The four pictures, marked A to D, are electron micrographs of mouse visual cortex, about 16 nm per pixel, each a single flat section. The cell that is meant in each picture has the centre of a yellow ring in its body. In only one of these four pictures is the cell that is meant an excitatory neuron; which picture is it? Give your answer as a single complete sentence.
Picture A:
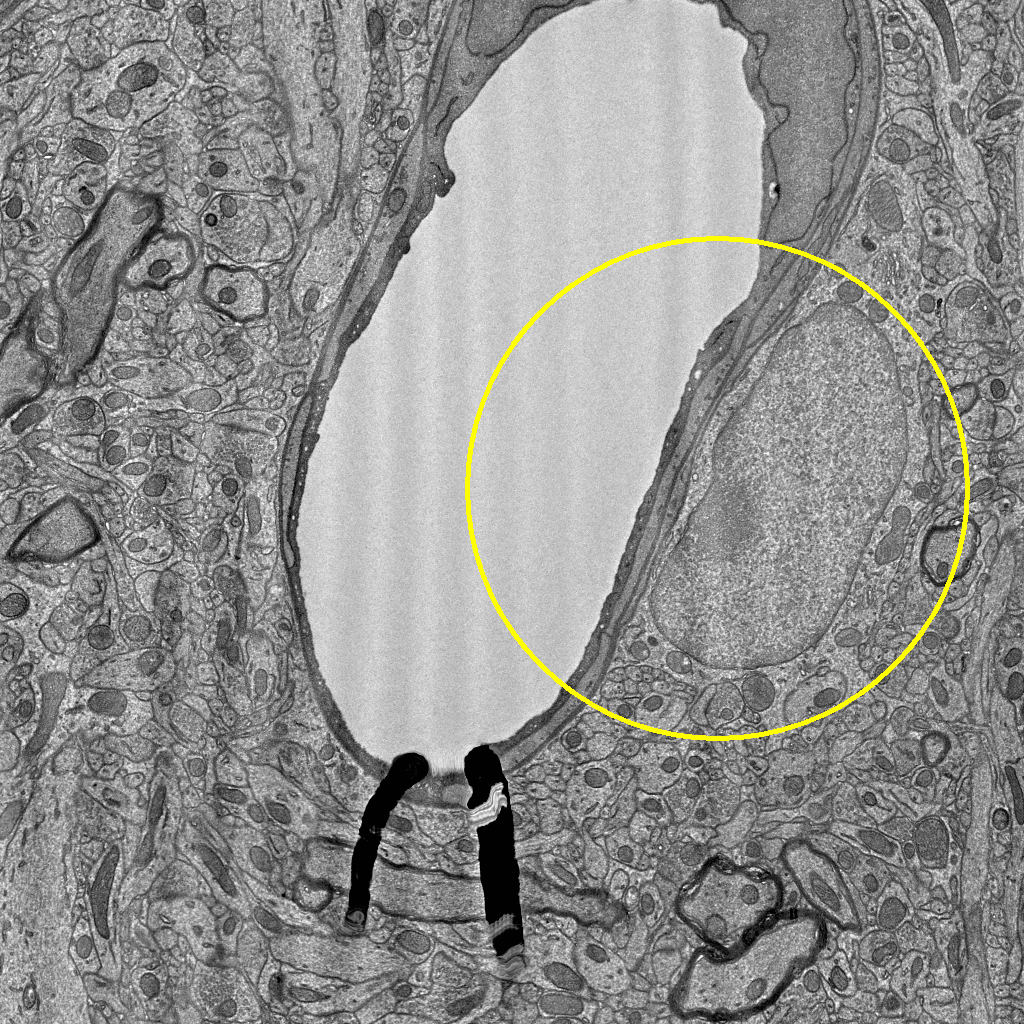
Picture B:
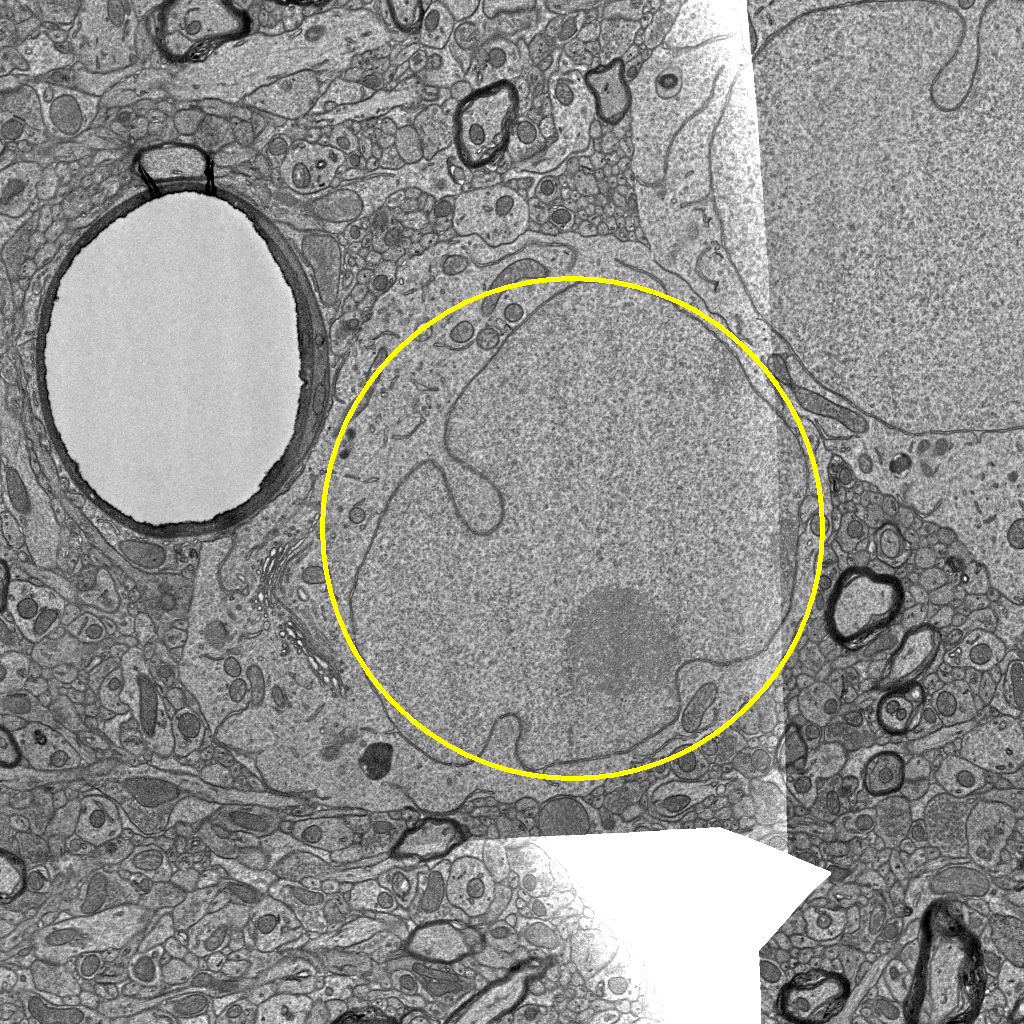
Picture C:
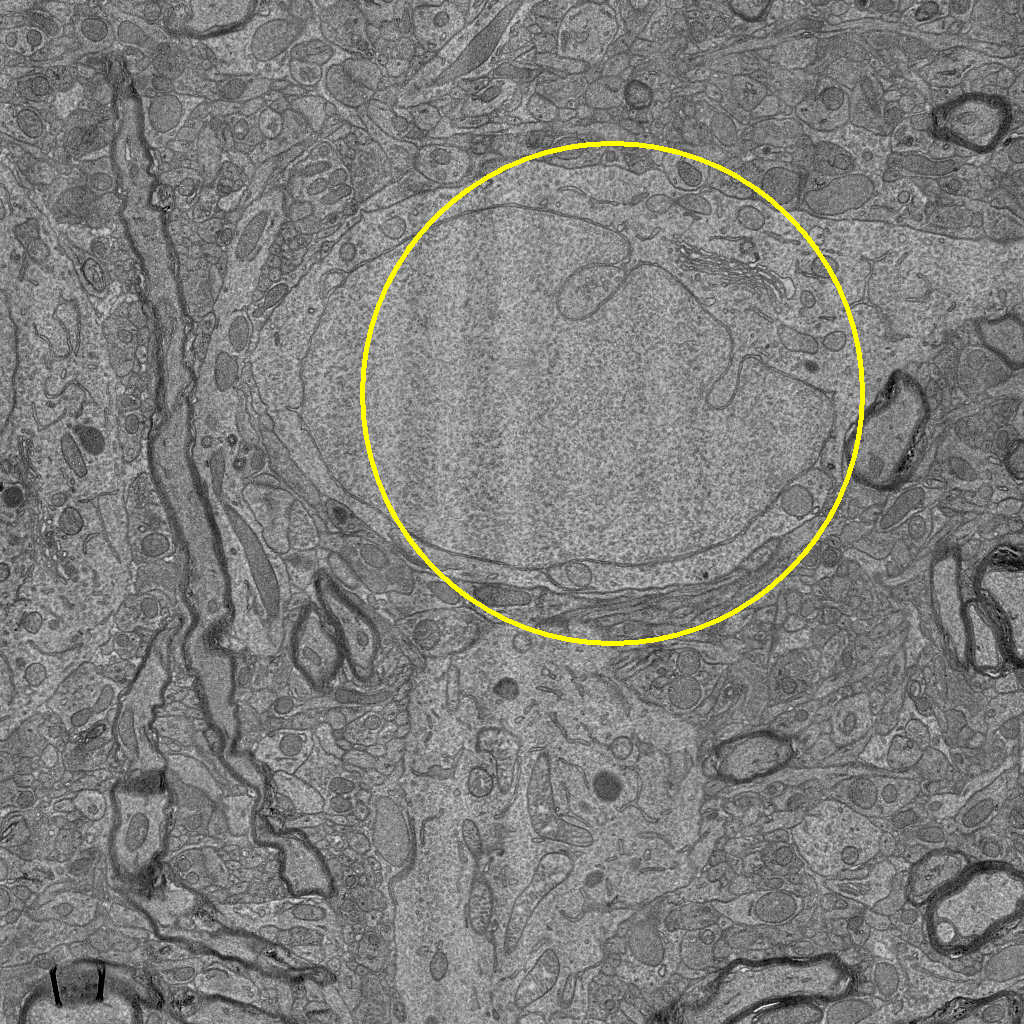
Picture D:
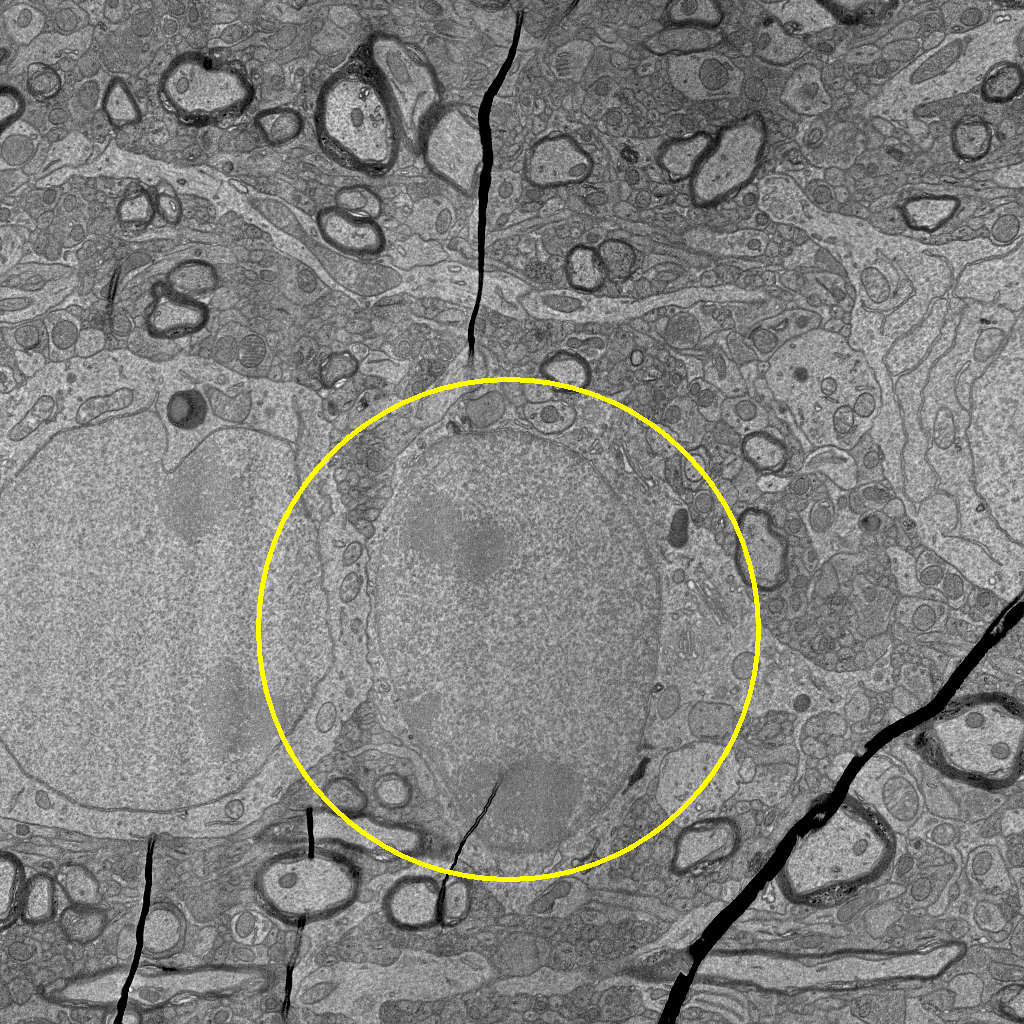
Picture B shows the excitatory neuron.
